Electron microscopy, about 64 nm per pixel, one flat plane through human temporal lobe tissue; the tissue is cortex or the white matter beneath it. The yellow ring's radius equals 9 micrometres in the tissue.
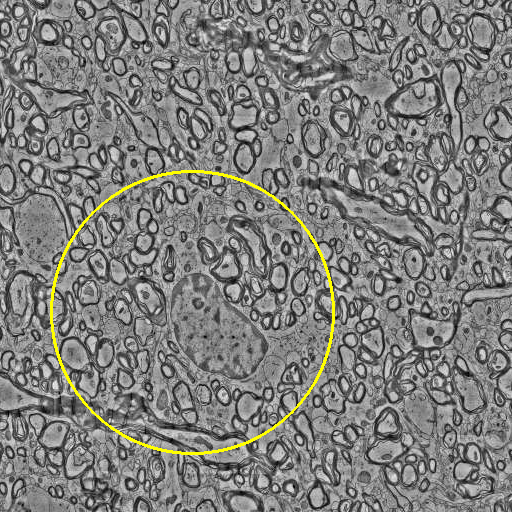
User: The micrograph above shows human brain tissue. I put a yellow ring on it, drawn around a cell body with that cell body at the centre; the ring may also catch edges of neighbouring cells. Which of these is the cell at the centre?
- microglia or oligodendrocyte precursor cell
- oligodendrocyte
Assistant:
microglia or oligodendrocyte precursor cell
